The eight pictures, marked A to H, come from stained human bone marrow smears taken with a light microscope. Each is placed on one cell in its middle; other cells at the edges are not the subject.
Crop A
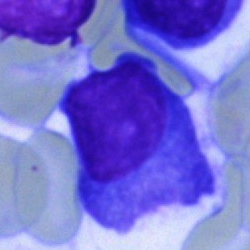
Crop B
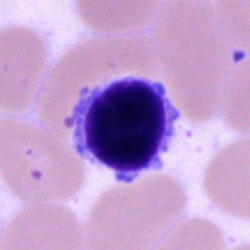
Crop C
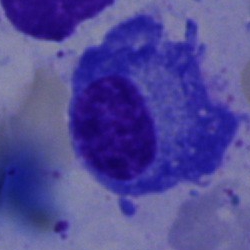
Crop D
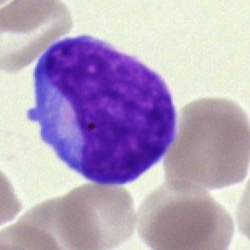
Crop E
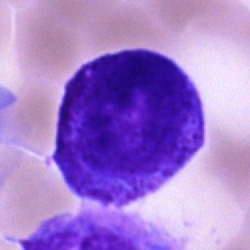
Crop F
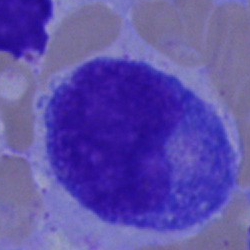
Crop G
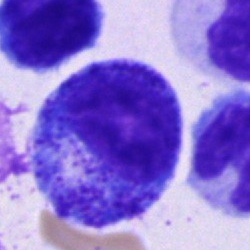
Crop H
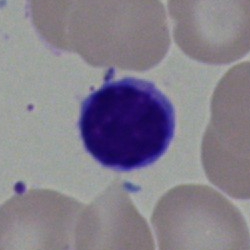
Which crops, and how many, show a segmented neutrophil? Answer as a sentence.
The crops contain no segmented neutrophils, so the count is zero.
